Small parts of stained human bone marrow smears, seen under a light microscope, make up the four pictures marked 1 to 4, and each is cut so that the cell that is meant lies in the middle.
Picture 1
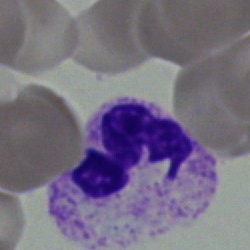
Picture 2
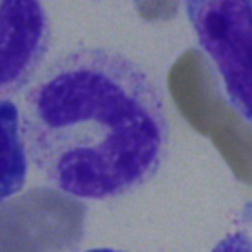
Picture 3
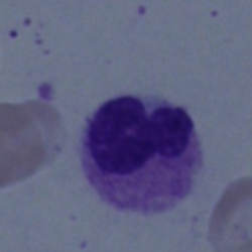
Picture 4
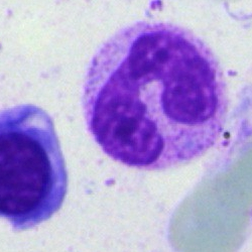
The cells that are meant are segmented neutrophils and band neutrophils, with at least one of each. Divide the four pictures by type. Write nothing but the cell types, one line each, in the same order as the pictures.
segmented neutrophil
band neutrophil
band neutrophil
band neutrophil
